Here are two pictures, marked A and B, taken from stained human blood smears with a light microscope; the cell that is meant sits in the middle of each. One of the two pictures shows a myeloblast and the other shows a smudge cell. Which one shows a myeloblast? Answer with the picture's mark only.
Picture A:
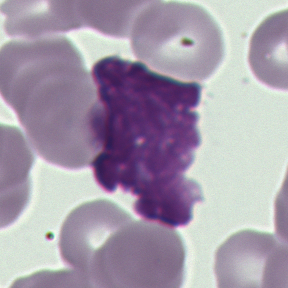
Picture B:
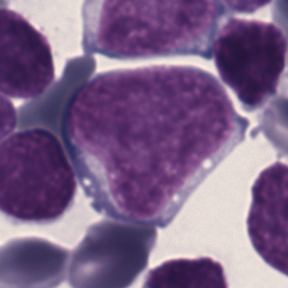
B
